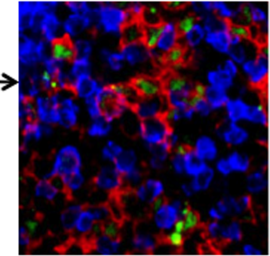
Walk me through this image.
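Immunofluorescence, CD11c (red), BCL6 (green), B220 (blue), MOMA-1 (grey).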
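A magnified field of densely packed round cells, seen at high magnification in fluorescence. Small green dots of varying brightness lie within several cells, mostly in their centres, and many of these are inside the red-rimmed cells. Some green dots are bright, while others are faint. The red cells lie in a loose network between the blue cells rather than forming a separate layer.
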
